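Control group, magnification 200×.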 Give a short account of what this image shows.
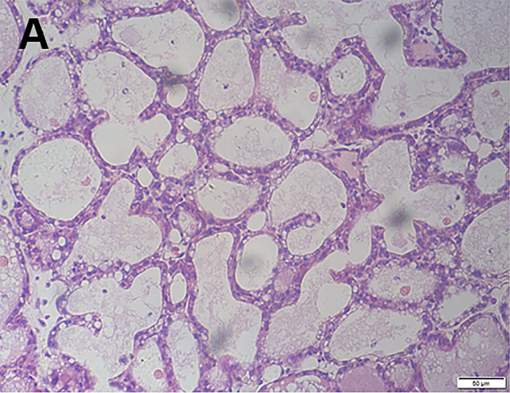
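This is mammary gland tissue with many alveoli of varied size and shape, their wide lumens pale and nearly empty. Each is lined by a thin single layer of epithelial cells with purple nuclei, and the alveoli lie close together with only thin strands of tissue between them.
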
